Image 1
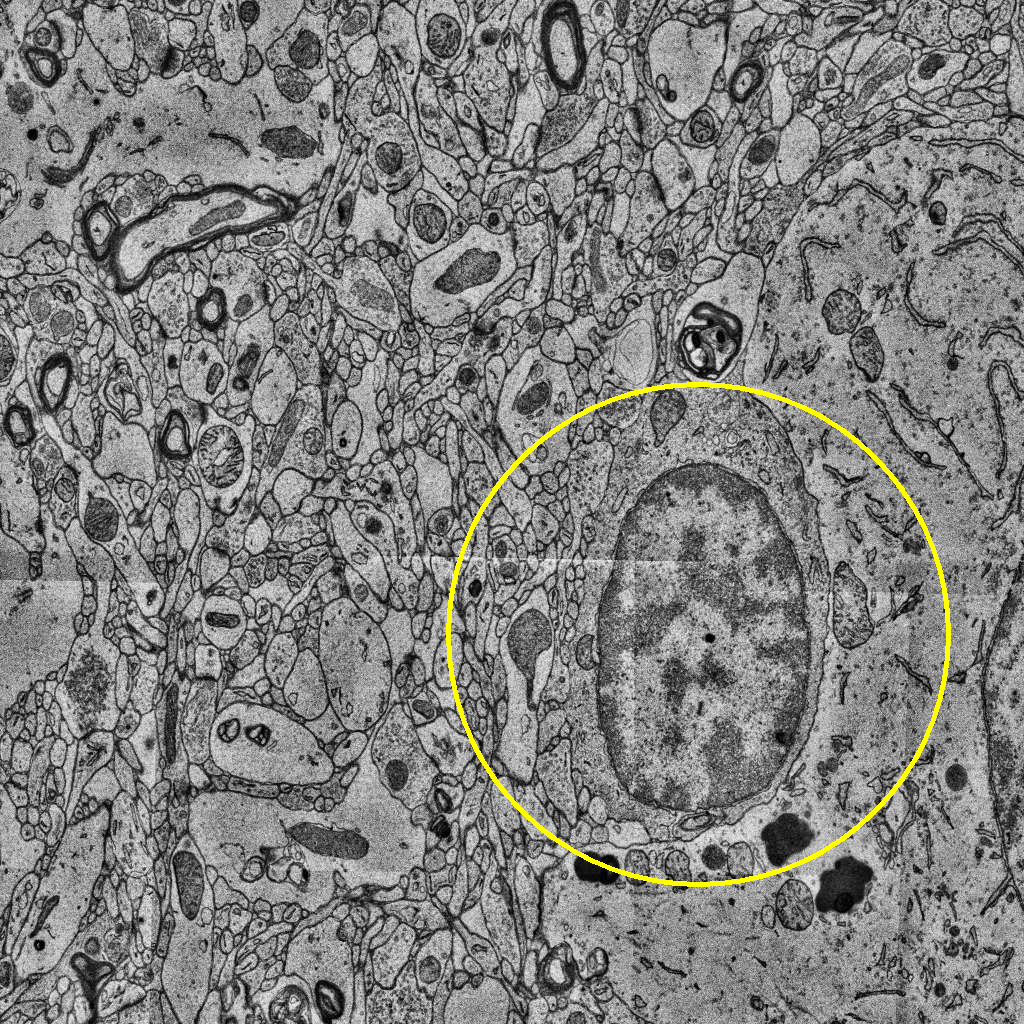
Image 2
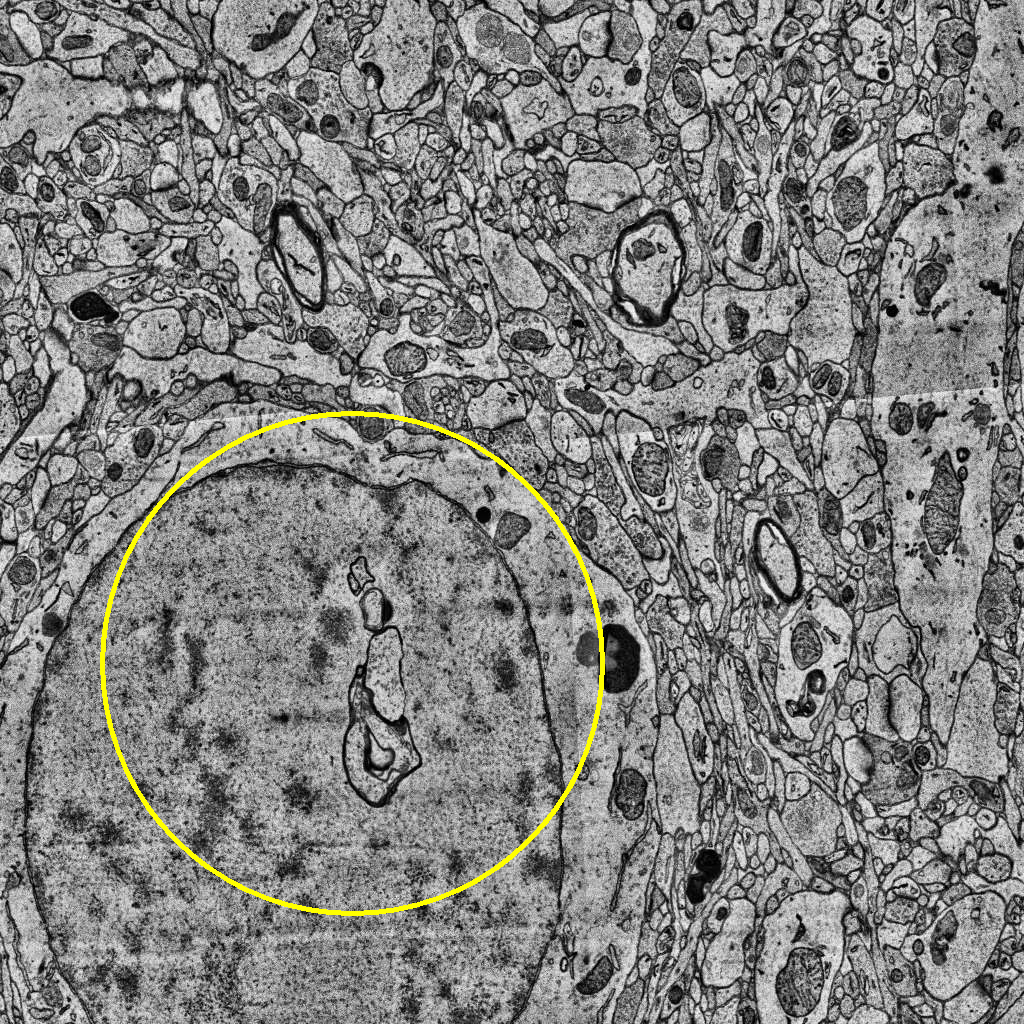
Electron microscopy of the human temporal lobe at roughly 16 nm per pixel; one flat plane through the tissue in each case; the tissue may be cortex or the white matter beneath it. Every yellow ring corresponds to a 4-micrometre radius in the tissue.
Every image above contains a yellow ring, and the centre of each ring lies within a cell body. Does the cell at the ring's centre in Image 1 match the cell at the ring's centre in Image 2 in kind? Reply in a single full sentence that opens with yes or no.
No, the cell at the ring's centre in Image 1 is a separate kind from that in Image 2.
